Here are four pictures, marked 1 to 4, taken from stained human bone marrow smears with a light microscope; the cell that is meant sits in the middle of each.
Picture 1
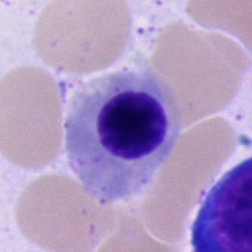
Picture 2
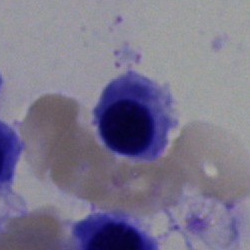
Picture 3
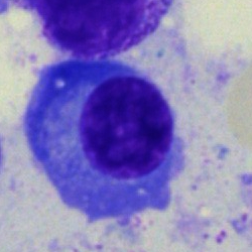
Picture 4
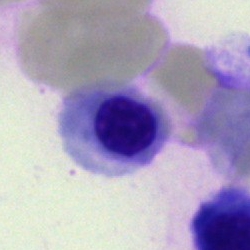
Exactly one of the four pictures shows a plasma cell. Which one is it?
3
